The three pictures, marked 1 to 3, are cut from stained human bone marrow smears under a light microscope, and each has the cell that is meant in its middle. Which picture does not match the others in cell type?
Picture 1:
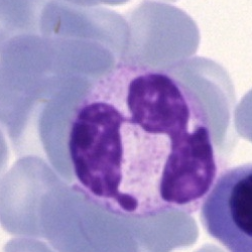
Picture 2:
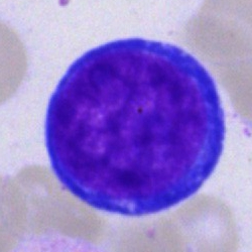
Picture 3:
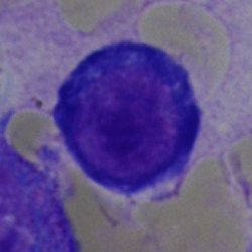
1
